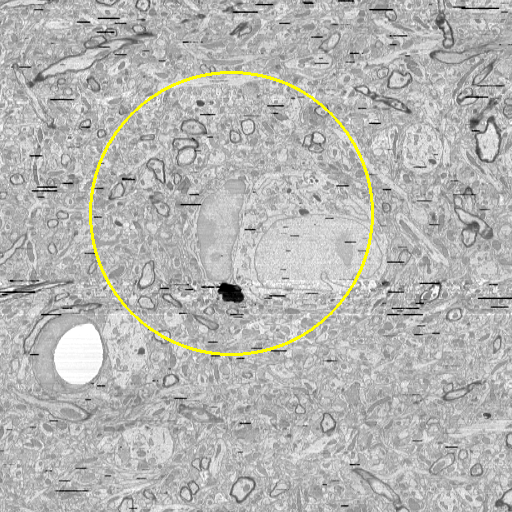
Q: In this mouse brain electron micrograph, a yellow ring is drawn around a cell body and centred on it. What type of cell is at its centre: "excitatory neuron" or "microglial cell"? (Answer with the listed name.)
microglial cell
